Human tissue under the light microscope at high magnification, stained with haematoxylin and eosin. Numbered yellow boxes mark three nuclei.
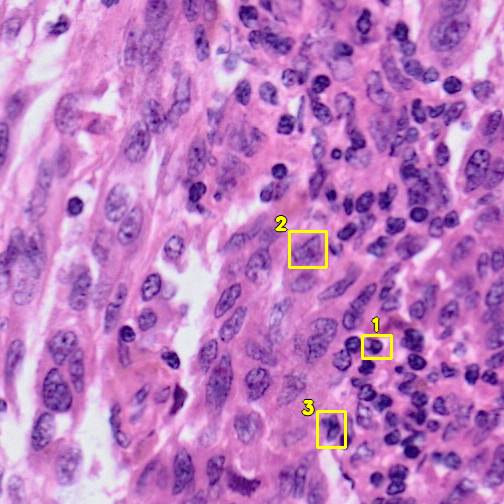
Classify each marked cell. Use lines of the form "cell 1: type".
cell 1: lymphocyte
cell 2: melanoma cell
cell 3: lymphocyte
